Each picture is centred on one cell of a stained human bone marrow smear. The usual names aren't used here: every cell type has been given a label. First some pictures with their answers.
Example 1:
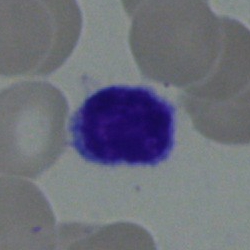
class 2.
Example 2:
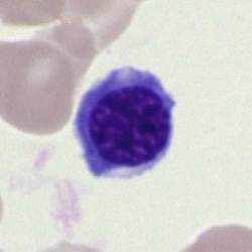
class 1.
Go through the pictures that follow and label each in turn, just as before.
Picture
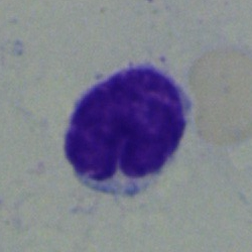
class 2.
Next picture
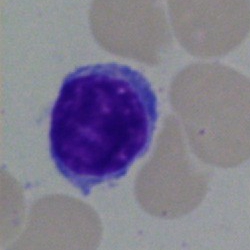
class 2.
